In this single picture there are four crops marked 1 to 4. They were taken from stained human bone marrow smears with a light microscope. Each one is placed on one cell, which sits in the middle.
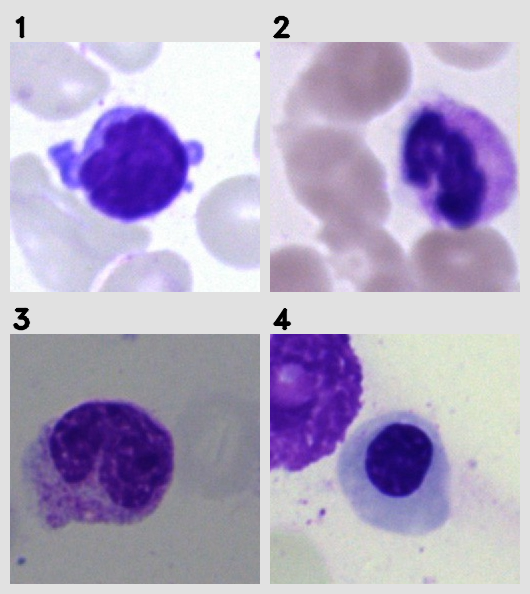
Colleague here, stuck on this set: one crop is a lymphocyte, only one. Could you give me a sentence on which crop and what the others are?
Shown in crop 1 is a lymphocyte, whereas crop 2 is a segmented neutrophil, crop 3 is a band neutrophil and crop 4 is an erythroblast.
